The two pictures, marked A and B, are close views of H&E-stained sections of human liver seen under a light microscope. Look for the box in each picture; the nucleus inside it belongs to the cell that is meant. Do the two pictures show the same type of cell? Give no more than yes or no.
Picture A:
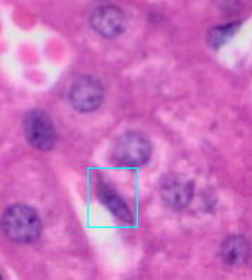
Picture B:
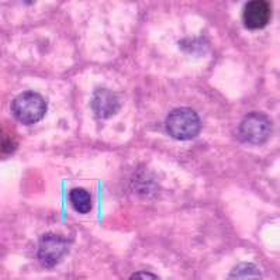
no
